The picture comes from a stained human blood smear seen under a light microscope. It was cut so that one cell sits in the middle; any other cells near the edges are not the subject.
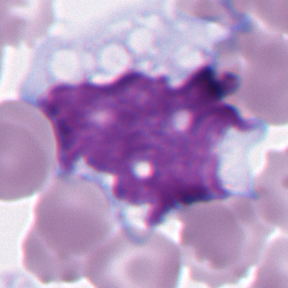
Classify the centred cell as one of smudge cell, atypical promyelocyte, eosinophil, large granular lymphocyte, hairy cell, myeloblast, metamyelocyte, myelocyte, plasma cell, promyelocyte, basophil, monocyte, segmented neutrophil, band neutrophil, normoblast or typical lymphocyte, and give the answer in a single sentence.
The middle cell in this particular crop is a monocyte.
